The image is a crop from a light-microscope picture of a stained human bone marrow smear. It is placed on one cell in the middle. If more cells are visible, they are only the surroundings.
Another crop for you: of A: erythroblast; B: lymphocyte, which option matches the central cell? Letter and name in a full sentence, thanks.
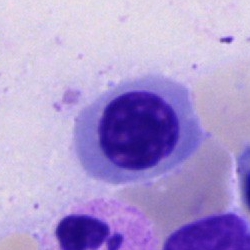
The one to choose is option A, as the cell in the middle is an erythroblast.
